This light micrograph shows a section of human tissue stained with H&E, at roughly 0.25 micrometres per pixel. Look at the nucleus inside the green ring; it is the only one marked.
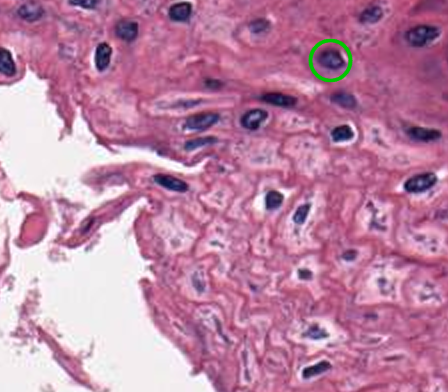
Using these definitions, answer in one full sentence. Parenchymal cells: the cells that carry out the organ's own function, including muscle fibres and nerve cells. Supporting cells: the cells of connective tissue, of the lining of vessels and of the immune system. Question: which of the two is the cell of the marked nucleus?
The marked nucleus belongs to the parenchyma, being the nucleus of a squamous epithelial cell.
